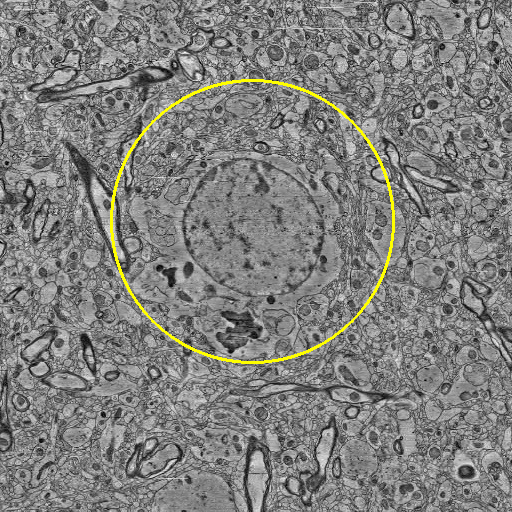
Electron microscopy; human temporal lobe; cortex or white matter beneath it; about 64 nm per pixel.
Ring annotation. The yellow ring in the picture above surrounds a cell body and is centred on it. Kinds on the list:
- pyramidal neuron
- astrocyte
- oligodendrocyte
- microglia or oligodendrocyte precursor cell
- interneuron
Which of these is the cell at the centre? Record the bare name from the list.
astrocyte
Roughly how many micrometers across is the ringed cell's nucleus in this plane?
The ringed cell's nucleus is about 9 micrometres across in this plane.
